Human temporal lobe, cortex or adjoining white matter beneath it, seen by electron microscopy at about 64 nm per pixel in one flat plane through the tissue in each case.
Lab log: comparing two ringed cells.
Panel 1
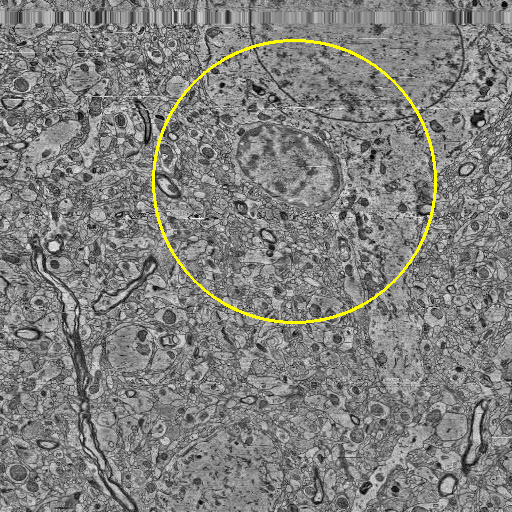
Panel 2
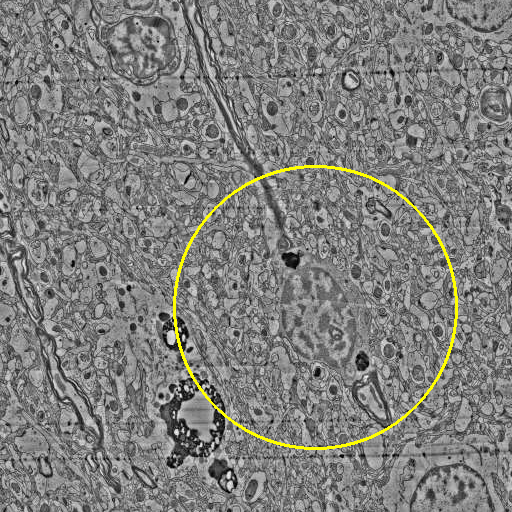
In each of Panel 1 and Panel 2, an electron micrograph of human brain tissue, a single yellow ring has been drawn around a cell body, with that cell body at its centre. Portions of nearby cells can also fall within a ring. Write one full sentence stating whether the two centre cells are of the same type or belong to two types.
The cells at the ring centres in Panel 1 and Panel 2 are of the same type.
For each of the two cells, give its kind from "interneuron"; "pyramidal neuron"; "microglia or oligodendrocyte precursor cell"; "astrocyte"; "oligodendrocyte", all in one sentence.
Both the first and the second picture show an oligodendrocyte in the ring.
